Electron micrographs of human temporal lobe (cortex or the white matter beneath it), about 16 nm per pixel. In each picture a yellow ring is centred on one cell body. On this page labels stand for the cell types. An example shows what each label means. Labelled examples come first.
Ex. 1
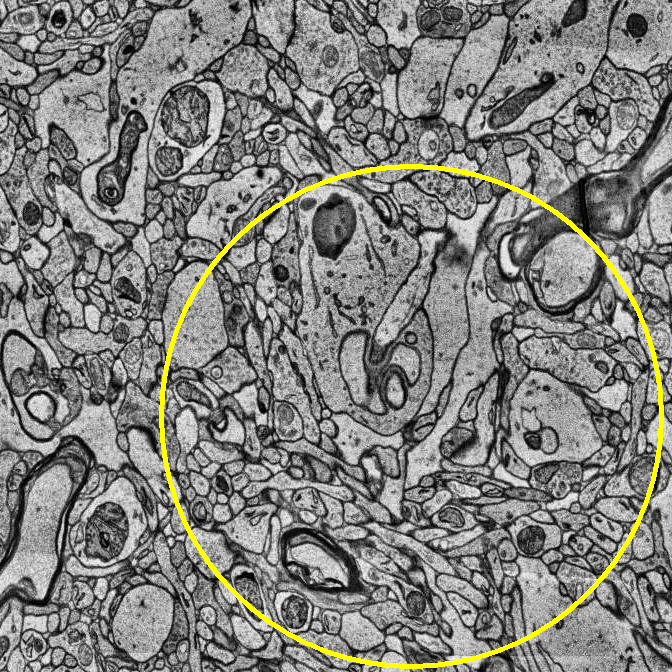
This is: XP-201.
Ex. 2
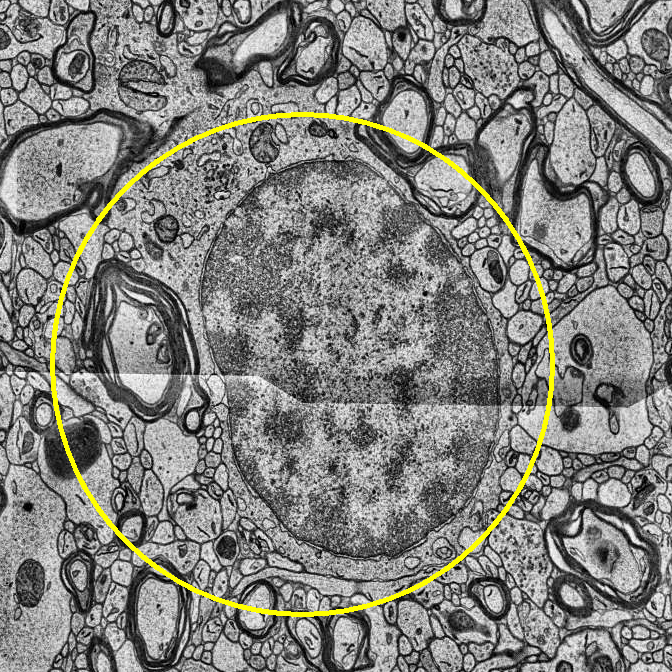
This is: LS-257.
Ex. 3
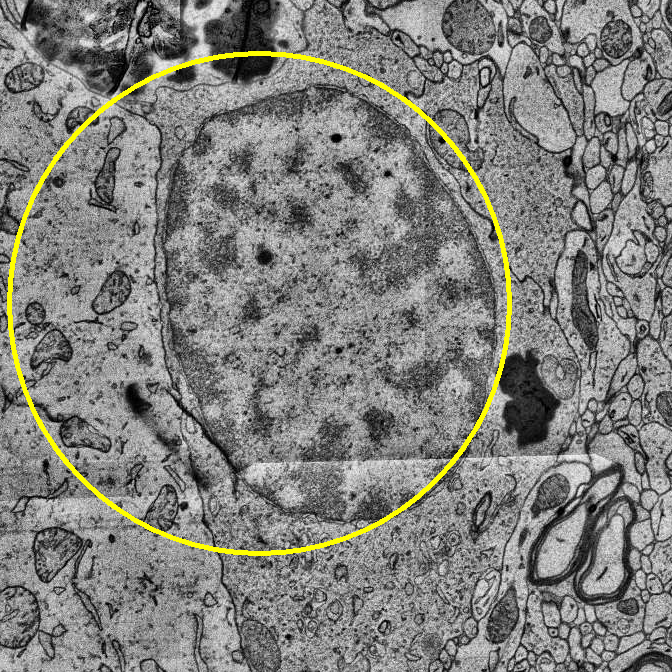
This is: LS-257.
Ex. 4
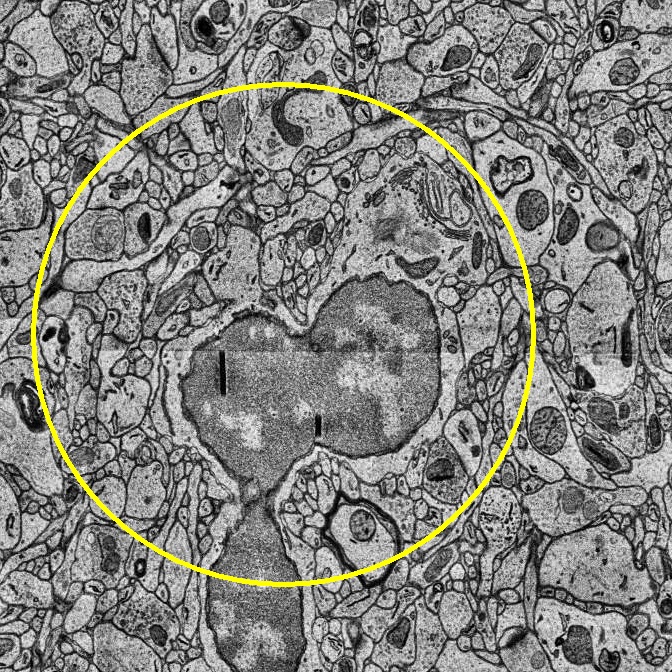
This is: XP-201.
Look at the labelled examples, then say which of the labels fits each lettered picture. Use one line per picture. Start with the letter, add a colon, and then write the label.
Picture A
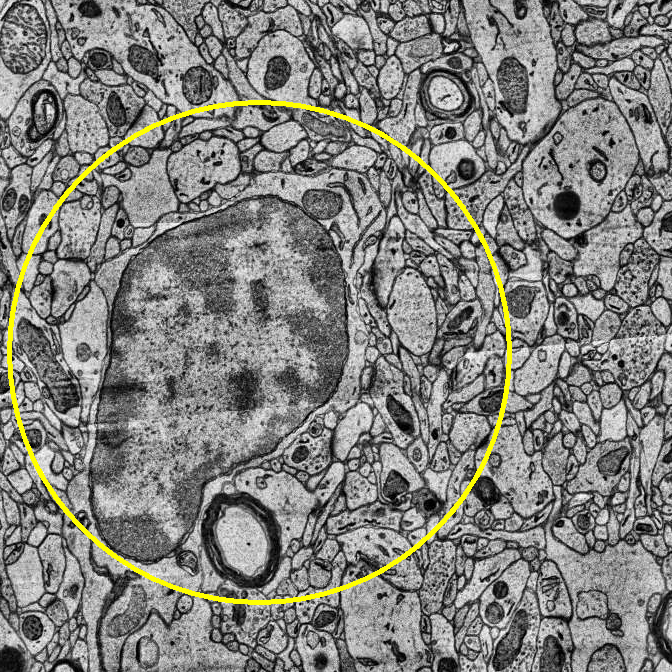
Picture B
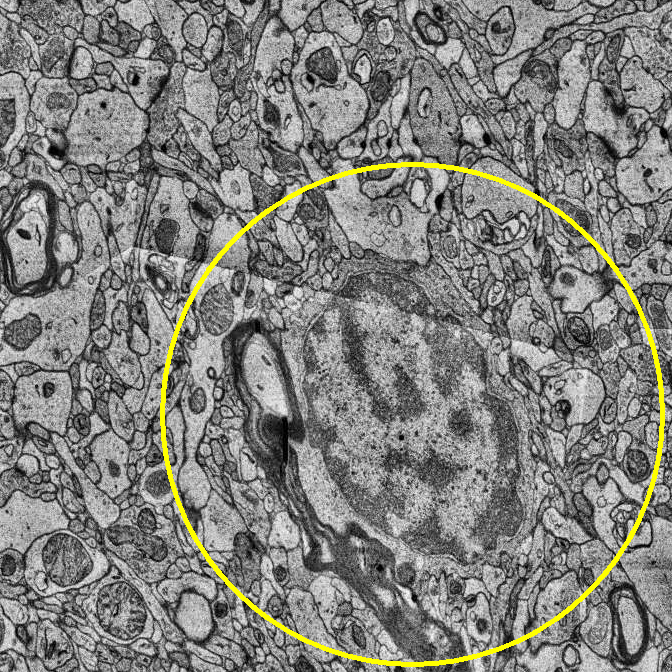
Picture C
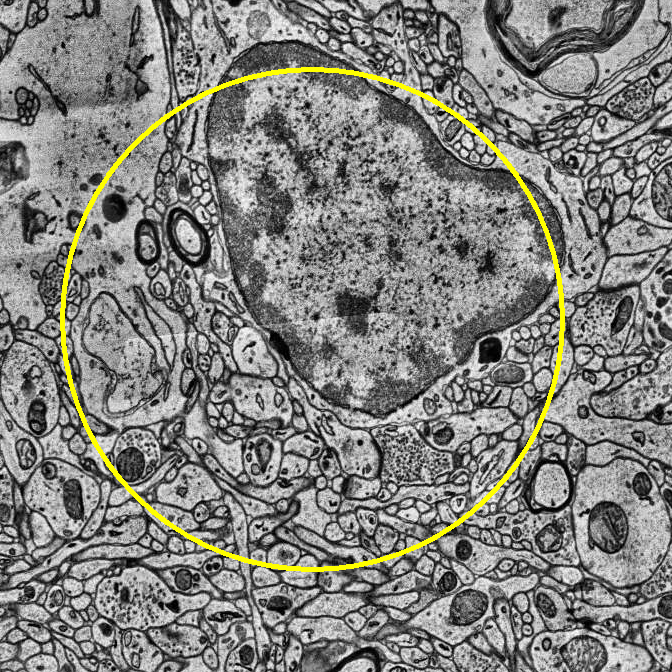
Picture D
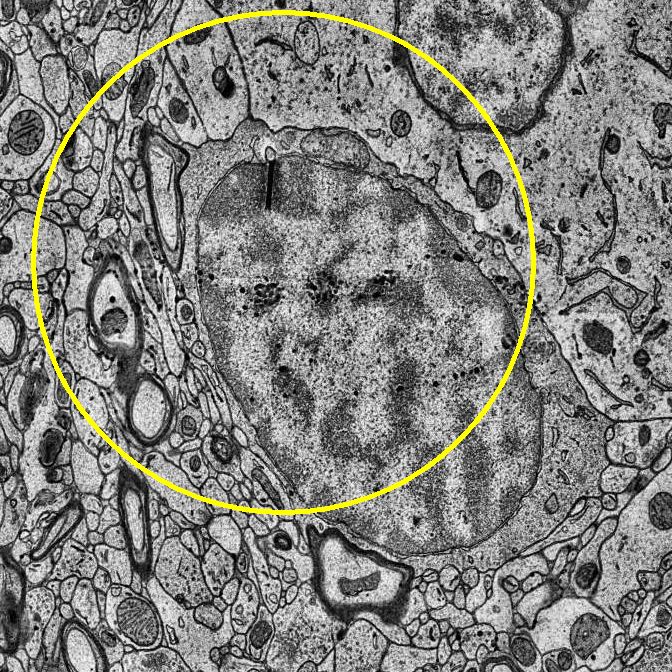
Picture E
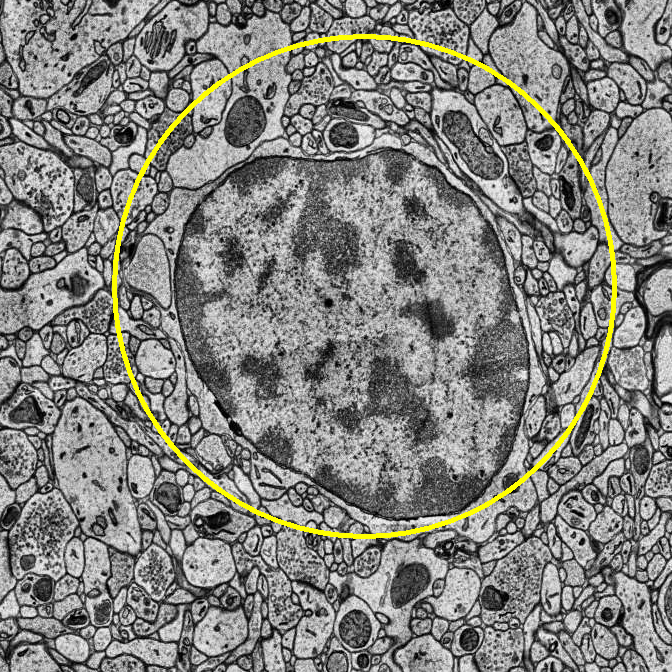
A: XP-201.
B: LS-257.
C: XP-201.
D: LS-257.
E: XP-201.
